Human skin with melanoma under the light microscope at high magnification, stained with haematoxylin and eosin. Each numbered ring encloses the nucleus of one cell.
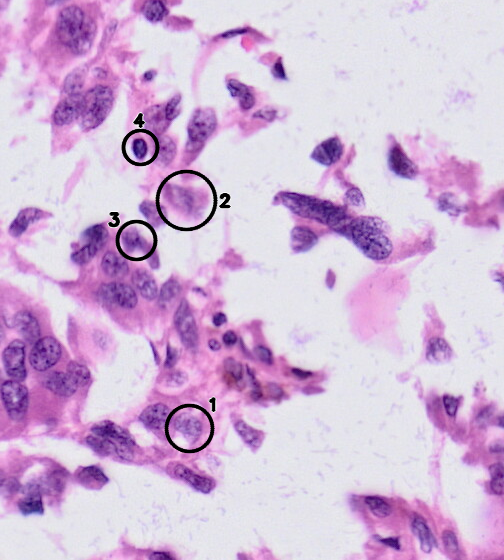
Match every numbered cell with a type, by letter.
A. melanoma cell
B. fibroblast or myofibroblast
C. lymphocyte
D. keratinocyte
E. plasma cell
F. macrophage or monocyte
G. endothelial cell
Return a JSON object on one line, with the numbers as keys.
{"1": "A", "2": "A", "3": "A", "4": "C"}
